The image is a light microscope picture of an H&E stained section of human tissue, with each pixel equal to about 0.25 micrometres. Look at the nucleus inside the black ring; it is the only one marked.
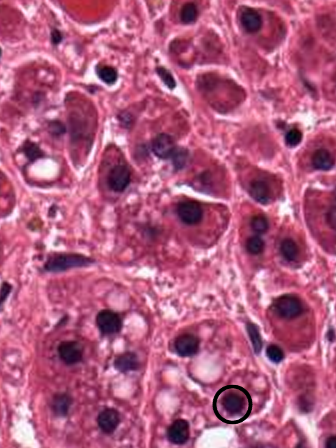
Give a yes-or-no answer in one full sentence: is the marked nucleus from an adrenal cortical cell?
Yes, the marked nucleus represents the nucleus of an adrenal cortical cell.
